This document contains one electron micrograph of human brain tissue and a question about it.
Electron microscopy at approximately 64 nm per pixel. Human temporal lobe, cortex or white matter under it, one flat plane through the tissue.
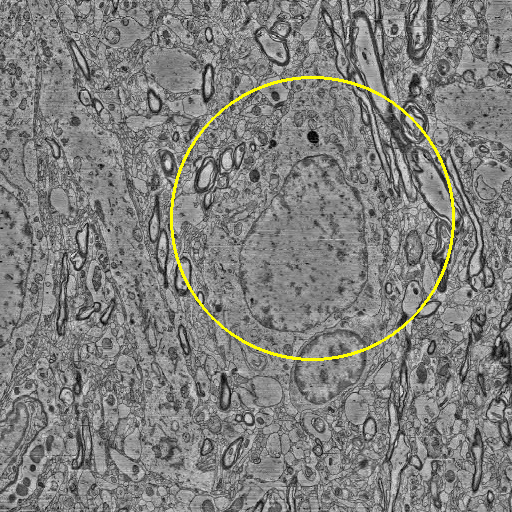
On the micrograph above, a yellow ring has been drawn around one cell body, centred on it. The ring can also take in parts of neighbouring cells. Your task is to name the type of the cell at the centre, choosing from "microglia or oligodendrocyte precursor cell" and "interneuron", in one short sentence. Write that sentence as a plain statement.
Here the ring is centred on an interneuron.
